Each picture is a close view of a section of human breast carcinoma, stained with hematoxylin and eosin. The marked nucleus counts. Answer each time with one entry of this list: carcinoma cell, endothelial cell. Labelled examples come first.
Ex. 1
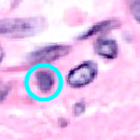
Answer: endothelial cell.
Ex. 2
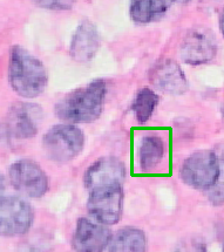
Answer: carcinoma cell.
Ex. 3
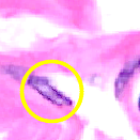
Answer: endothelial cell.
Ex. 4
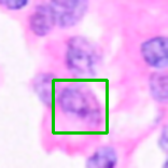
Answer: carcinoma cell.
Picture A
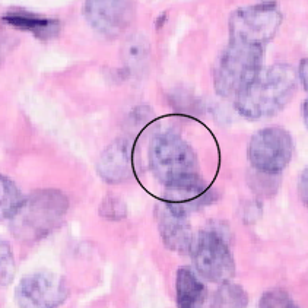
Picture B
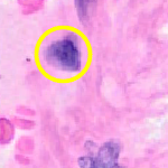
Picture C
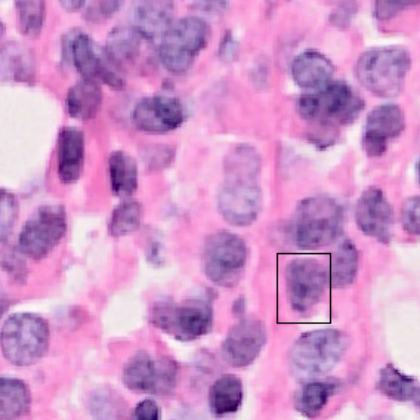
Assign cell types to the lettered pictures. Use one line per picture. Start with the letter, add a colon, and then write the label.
A: carcinoma cell.
B: endothelial cell.
C: carcinoma cell.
